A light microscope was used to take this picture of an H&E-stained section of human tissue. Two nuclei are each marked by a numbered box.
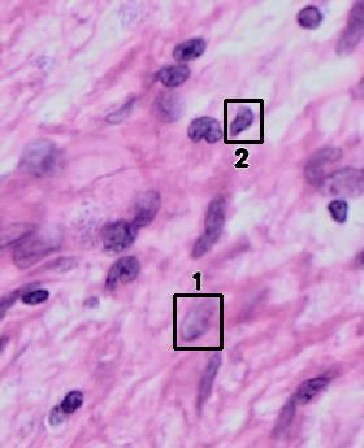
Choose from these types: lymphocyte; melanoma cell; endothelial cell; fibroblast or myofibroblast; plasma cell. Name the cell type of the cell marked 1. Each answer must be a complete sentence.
Among the marked cells, number 1 is a fibroblast or myofibroblast.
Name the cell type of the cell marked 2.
Identified as a lymphocyte is the cell bearing the number 2.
